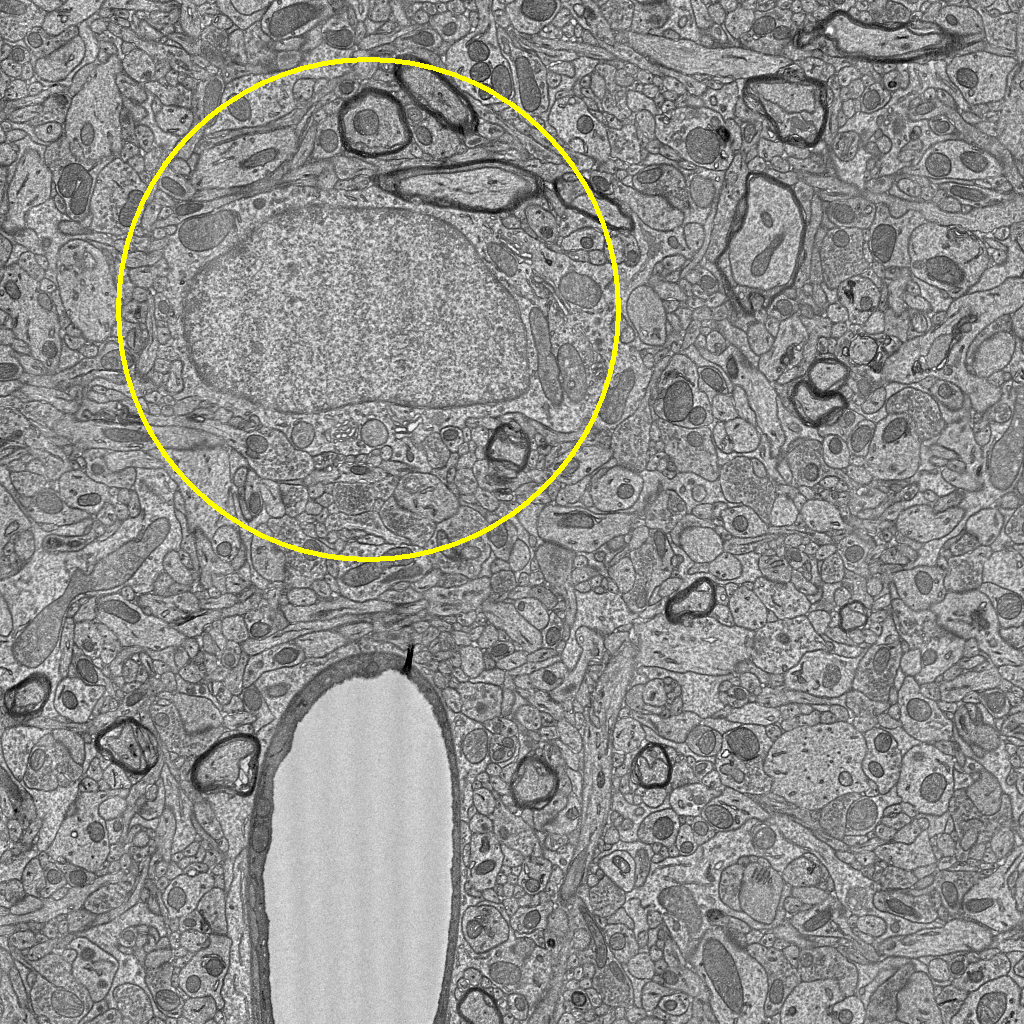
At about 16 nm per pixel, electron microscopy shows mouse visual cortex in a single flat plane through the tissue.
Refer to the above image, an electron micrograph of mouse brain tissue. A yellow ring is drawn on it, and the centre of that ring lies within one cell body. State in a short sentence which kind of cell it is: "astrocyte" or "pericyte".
The centre of the ring falls on an astrocyte.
